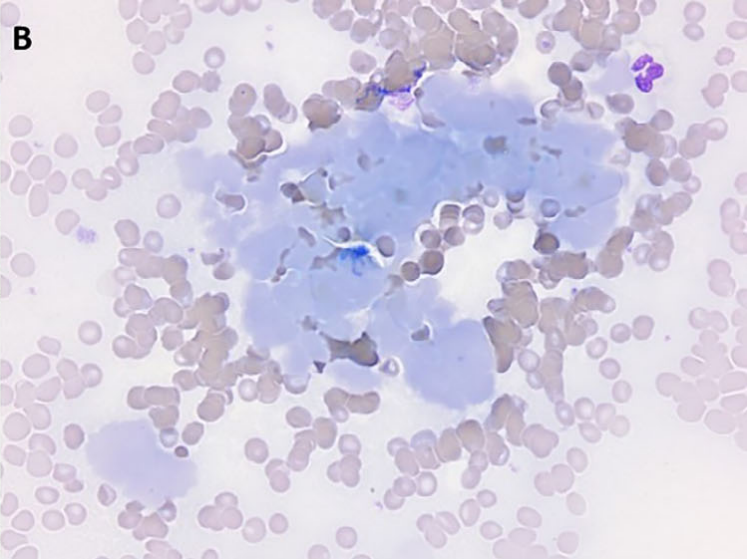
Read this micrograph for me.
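A large, irregular mass of pale blue material sits in the middle of a field of red blood cells. It has no nucleus, no granules and no cell border; it is smooth and structureless, with ragged, lobed edges, and red cells lie on and around it, some crowded at its margins. A smaller, similar pale blue patch lies at lower left. At upper right a single leukocyte with a dark purple, segmented nucleus gives a sense of scale, showing the mass to be many cells wide. This is an aggregate of amorphous basophilic material lying among the blood cells of the smear.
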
